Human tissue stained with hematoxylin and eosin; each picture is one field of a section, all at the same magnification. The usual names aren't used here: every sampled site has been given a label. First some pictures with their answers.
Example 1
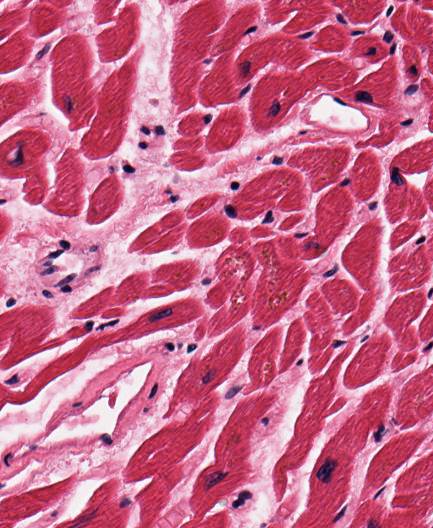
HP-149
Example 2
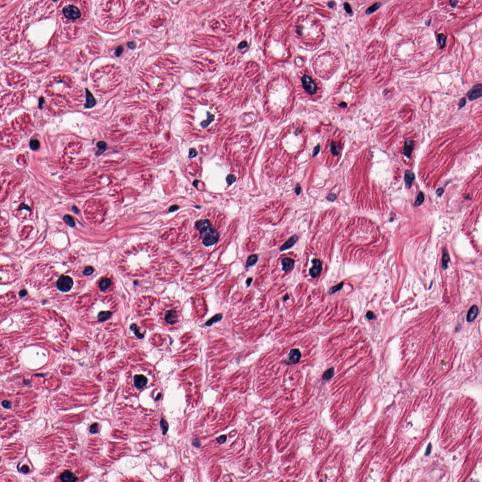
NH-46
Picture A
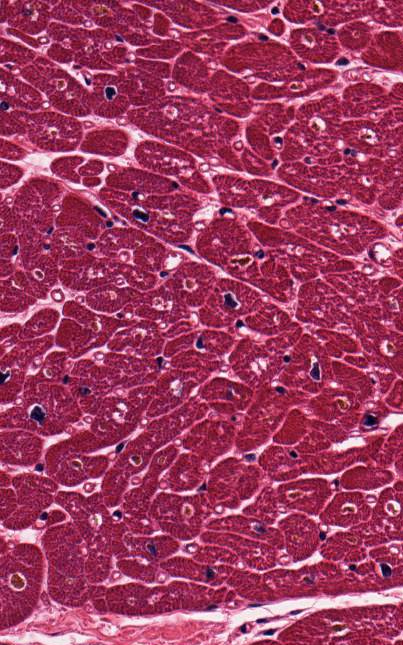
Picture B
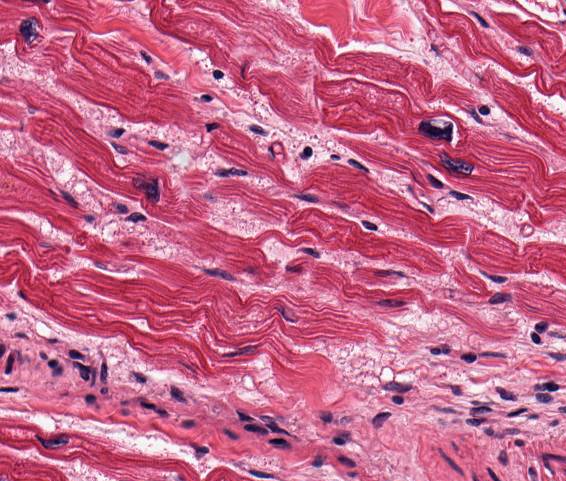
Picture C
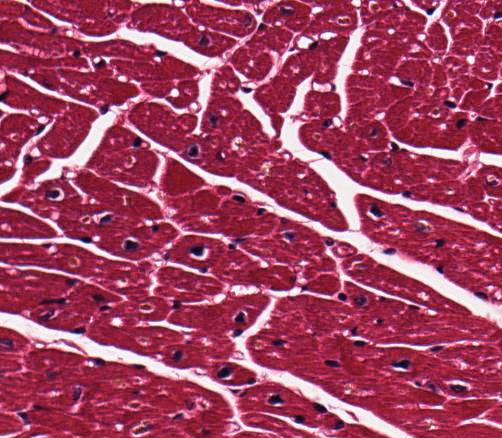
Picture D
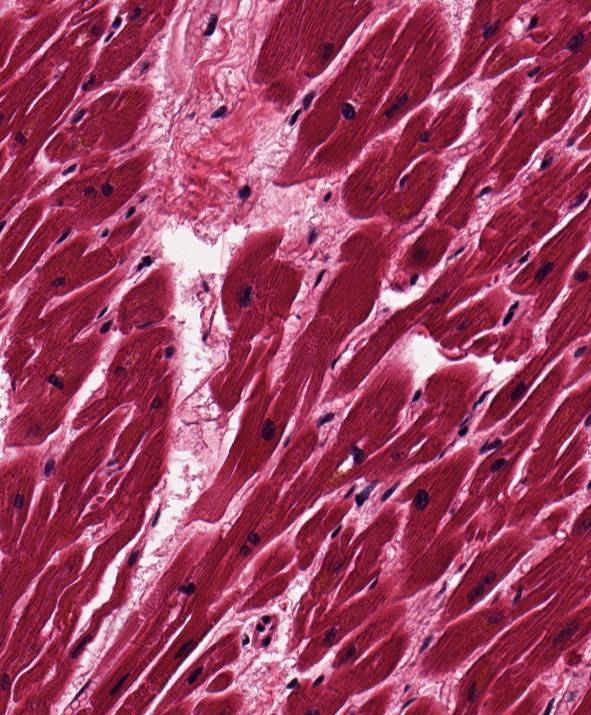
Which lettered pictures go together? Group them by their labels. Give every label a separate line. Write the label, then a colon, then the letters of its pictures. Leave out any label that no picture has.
HP-149: A, C, D
NH-46: B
